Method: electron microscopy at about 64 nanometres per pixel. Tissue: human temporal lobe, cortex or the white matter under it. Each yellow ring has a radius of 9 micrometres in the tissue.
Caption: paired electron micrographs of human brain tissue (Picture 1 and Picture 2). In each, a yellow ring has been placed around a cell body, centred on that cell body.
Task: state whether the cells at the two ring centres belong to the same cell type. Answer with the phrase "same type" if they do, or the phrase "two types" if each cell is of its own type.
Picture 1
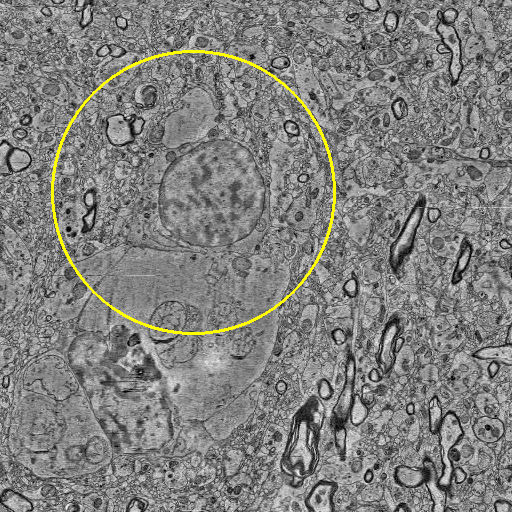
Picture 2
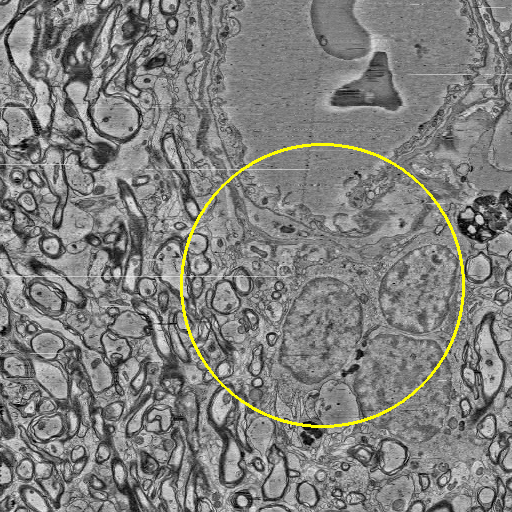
same type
